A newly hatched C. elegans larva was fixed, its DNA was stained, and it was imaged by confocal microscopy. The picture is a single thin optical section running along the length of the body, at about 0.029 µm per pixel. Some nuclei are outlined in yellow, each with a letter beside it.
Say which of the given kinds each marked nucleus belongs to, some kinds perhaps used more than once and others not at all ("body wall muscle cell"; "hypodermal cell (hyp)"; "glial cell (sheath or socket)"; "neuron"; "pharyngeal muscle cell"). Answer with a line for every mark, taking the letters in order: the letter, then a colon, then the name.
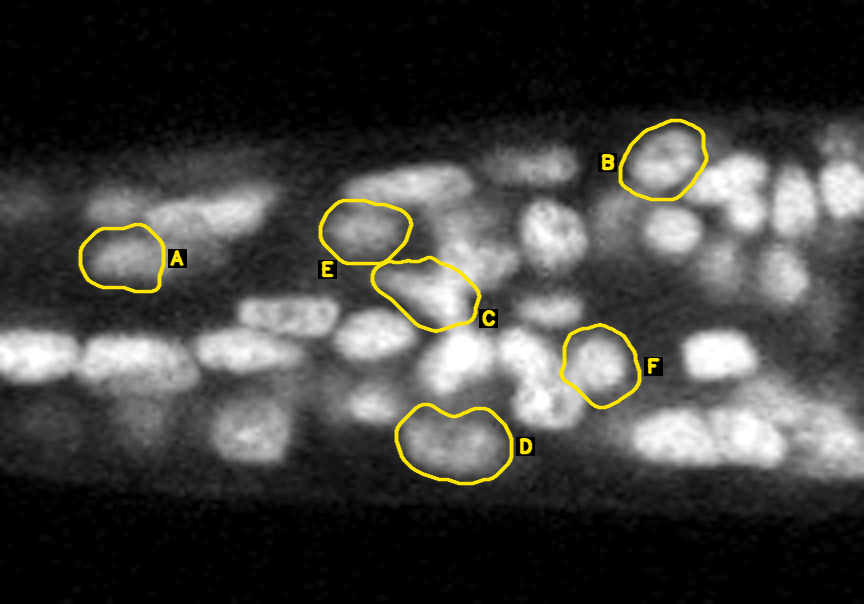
A: body wall muscle cell
B: hypodermal cell (hyp)
C: pharyngeal muscle cell
D: body wall muscle cell
E: glial cell (sheath or socket)
F: neuron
